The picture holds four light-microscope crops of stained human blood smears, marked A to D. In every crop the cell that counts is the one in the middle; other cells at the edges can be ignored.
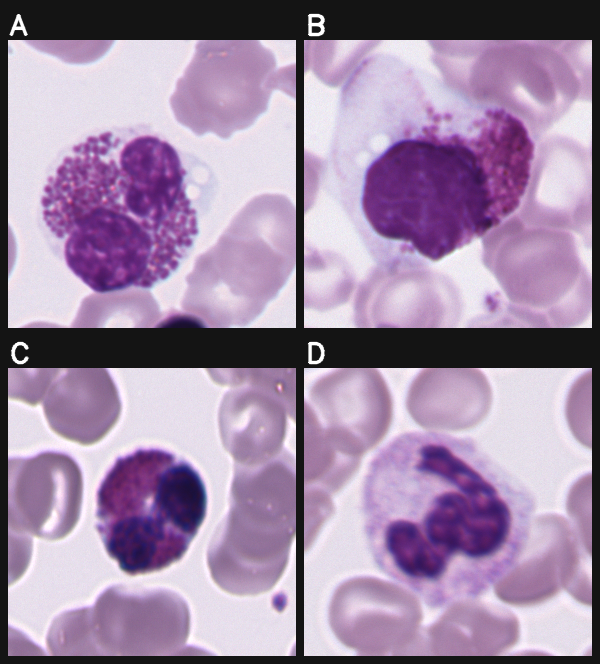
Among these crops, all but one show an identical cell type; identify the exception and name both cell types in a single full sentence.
The single exception is crop D, which is a segmented neutrophil; all other crops show eosinophils.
